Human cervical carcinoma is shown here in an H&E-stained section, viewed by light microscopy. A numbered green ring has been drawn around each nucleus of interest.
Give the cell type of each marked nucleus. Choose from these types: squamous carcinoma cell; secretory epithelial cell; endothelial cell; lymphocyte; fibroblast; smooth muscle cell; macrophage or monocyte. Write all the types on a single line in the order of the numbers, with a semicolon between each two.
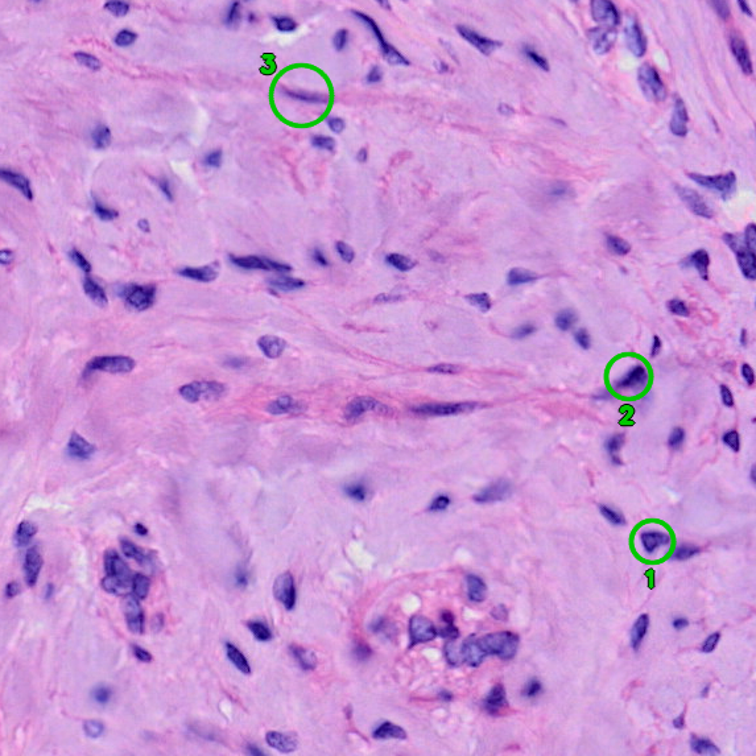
fibroblast; fibroblast; smooth muscle cell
